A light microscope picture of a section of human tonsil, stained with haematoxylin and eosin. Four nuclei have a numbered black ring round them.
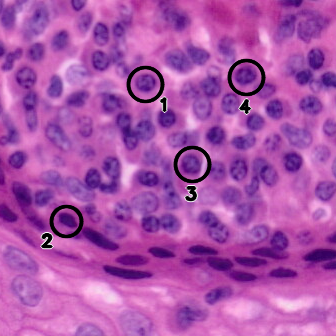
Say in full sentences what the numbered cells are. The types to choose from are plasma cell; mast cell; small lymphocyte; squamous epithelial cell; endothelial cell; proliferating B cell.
Cell 1 is a plasma cell, cell 2 is a squamous epithelial cell, cell 3 is a plasma cell and cell 4 is a plasma cell.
